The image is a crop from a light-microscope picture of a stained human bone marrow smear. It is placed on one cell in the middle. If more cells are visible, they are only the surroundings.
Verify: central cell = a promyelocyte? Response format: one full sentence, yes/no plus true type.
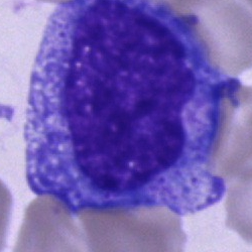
Yes, the one cell at the centre is a promyelocyte.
